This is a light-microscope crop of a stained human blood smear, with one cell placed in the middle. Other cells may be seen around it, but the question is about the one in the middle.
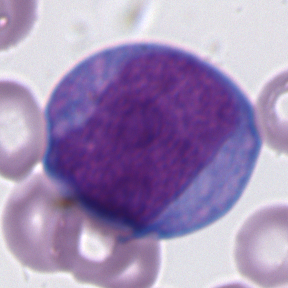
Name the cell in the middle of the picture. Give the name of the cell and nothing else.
promyelocyte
